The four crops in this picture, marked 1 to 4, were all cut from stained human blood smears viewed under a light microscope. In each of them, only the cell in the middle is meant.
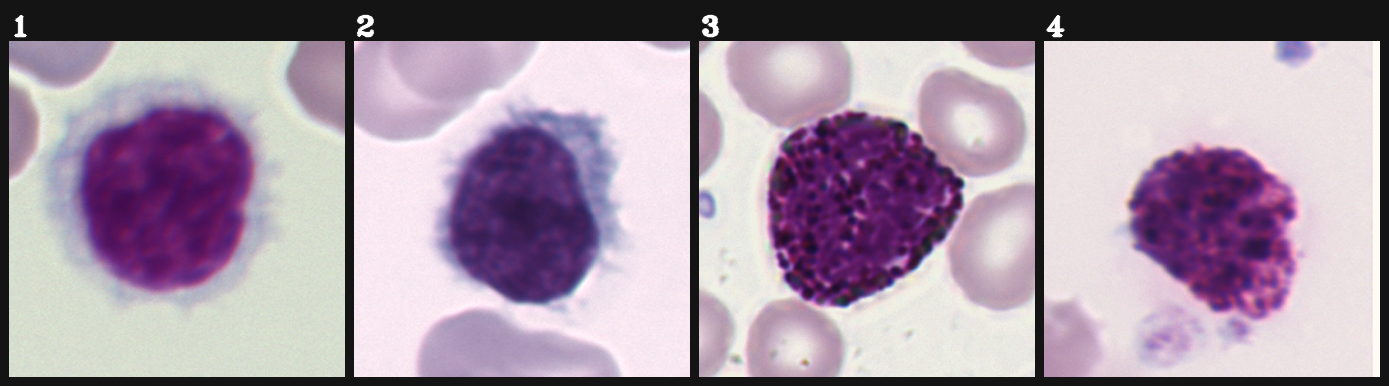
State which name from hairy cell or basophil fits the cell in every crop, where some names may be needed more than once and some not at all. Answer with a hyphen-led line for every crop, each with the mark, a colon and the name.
- 1: hairy cell
- 2: hairy cell
- 3: basophil
- 4: basophil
